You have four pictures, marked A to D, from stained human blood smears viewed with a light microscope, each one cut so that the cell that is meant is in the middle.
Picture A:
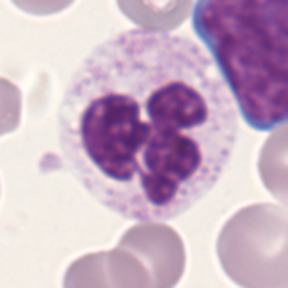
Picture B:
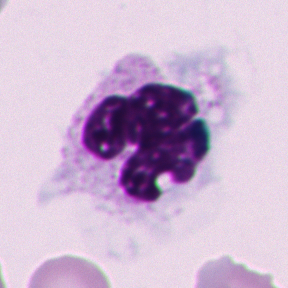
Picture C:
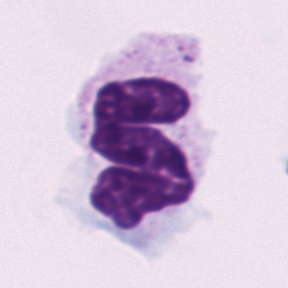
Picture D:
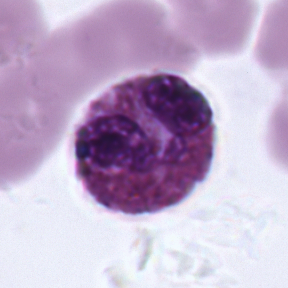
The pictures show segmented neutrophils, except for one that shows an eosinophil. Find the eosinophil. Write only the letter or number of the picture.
D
